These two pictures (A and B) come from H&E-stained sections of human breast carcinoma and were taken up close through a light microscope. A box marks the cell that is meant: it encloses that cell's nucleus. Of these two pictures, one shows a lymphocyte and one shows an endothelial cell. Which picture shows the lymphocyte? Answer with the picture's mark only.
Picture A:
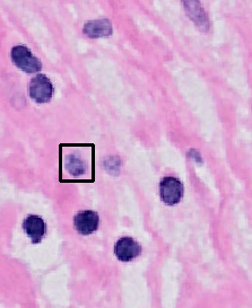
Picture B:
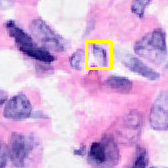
A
